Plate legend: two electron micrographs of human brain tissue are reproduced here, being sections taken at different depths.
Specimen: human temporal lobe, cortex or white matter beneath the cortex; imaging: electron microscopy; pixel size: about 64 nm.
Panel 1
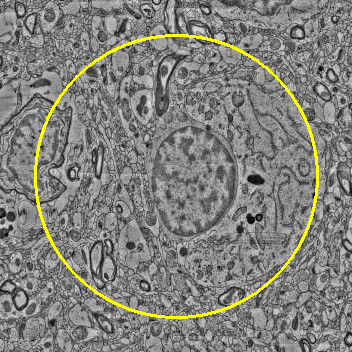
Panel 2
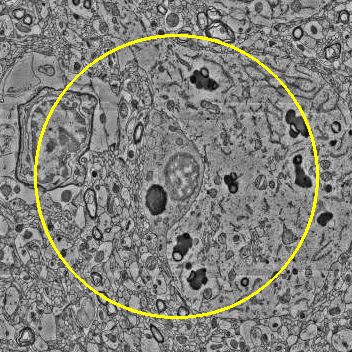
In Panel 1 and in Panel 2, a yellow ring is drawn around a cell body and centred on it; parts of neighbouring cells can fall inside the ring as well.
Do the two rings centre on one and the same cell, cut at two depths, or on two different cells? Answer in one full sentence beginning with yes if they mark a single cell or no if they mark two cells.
Yes, the marked cell is the same in both rings.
